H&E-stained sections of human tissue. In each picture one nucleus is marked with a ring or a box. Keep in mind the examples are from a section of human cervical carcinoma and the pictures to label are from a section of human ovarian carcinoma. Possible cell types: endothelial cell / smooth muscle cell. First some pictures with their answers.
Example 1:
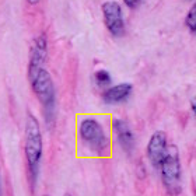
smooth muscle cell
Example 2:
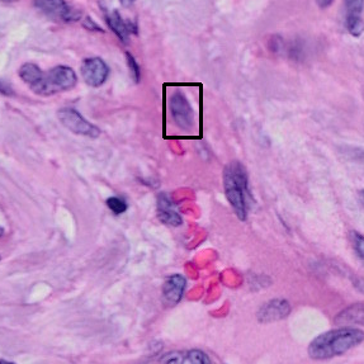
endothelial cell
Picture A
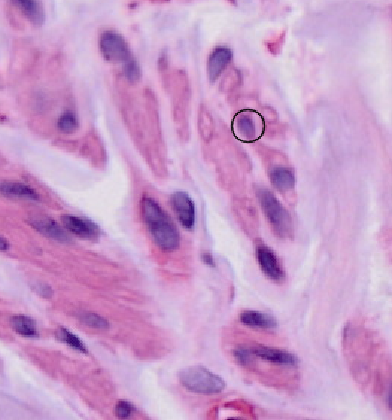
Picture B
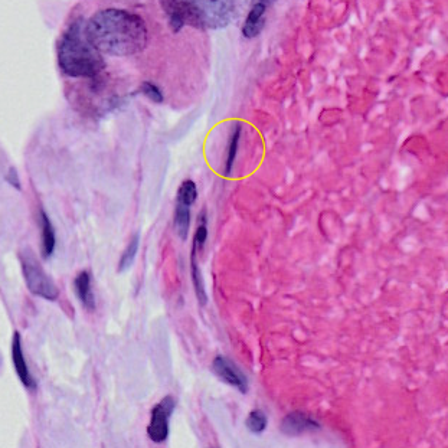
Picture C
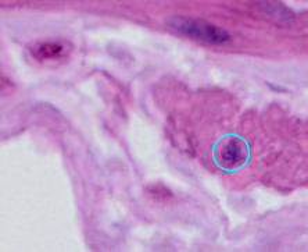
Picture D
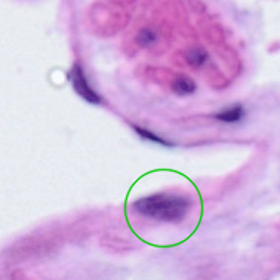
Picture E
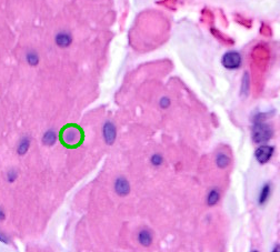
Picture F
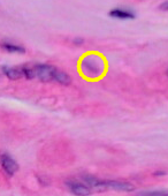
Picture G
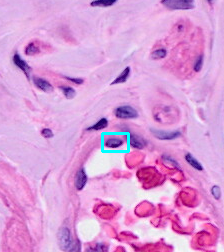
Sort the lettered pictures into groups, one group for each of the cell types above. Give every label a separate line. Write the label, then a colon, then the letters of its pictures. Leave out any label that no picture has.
endothelial cell: B, D, G
smooth muscle cell: A, C, E, F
